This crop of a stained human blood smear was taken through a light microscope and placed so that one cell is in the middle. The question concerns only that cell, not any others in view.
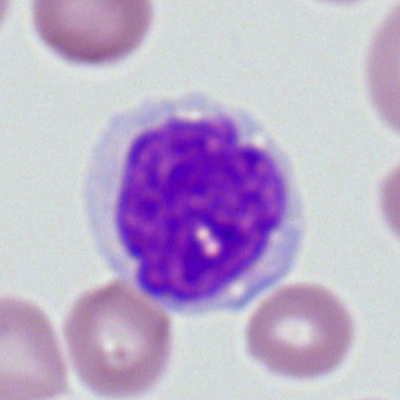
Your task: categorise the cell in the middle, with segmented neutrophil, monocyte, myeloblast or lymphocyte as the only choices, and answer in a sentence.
Here the cell in the middle is a monocyte.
